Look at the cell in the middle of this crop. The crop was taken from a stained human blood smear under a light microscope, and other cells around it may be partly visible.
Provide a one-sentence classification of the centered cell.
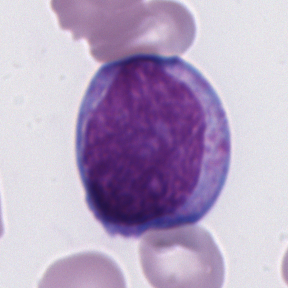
Here the cell in the middle is a promyelocyte.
